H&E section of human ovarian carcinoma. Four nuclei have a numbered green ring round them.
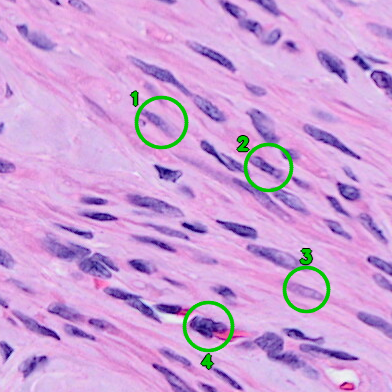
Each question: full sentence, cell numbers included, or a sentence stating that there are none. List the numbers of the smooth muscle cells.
Into the category of smooth muscle cells fall the cells numbered 1, 2 and 3.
